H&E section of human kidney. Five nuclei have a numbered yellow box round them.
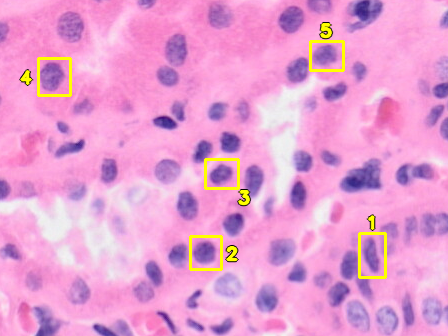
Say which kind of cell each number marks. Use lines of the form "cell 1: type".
cell 1: collecting duct cell
cell 2: loop of Henle or distal tubule cell
cell 3: loop of Henle or distal tubule cell
cell 4: proximal tubule cell
cell 5: loop of Henle or distal tubule cell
